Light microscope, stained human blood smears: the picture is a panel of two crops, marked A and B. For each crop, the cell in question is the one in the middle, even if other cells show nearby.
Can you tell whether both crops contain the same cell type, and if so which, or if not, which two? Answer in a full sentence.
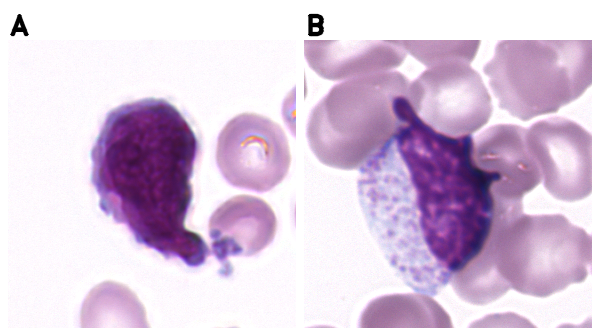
No, in crop B the central cell is a myelocyte, and in crop A it is an atypical promyelocyte.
